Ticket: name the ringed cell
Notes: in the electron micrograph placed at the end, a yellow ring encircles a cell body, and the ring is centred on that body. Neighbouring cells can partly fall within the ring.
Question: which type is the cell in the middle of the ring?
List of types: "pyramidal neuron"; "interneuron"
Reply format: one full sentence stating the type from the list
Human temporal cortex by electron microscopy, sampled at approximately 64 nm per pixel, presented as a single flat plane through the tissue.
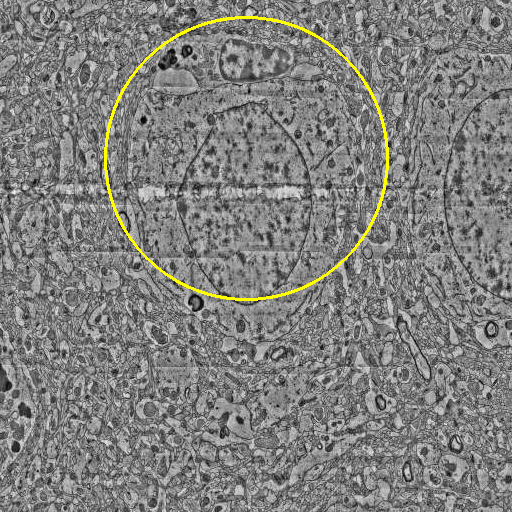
The cell sitting at the centre of the yellow ring is a pyramidal neuron.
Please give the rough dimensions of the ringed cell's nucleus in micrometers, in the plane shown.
About 13 by 9 micrometers for the nucleus, in this plane.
